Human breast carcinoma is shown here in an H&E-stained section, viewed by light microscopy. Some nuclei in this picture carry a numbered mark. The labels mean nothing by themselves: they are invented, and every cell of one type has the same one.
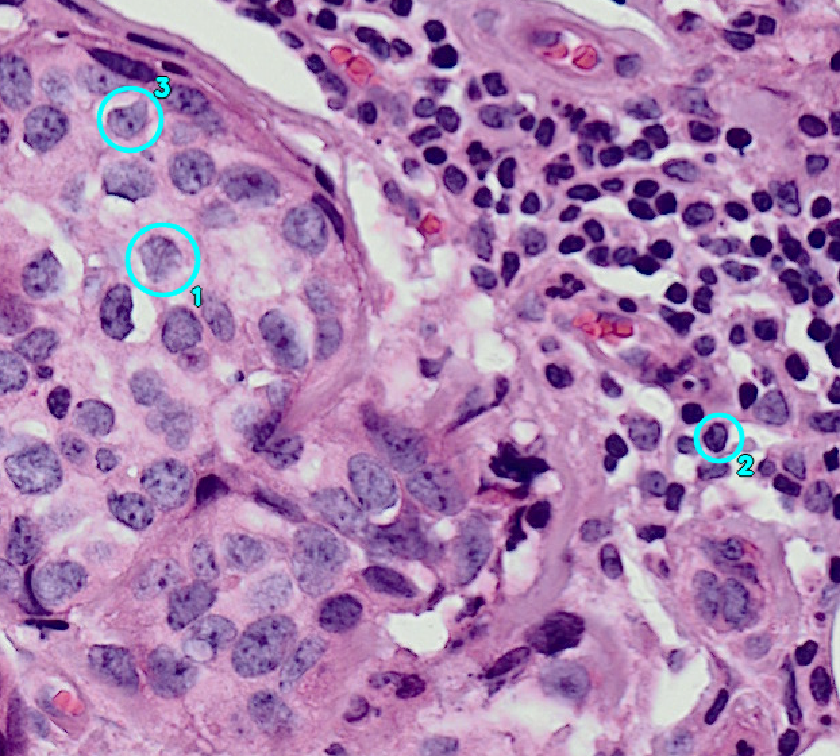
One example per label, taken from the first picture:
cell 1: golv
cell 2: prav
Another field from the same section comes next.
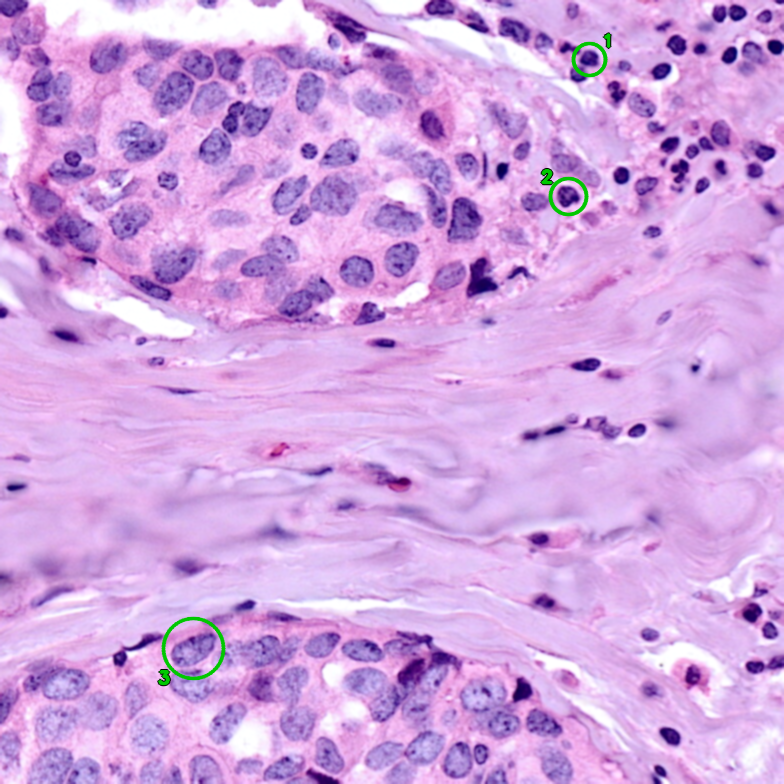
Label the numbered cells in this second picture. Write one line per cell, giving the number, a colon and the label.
1: prav
2: prav
3: golv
